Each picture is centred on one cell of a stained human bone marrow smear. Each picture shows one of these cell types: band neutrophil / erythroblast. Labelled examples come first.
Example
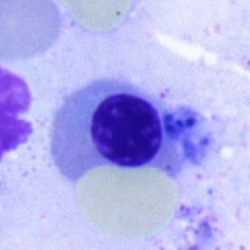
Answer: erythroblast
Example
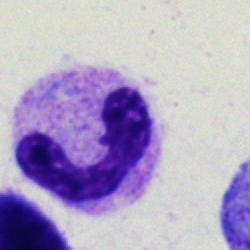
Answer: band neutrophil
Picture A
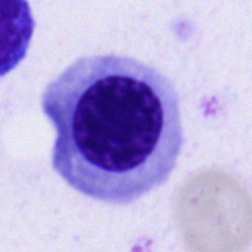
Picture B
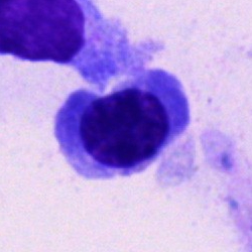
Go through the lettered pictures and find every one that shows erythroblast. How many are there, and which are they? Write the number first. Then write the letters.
2: A, B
